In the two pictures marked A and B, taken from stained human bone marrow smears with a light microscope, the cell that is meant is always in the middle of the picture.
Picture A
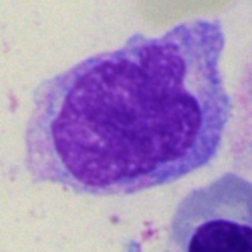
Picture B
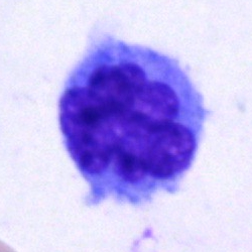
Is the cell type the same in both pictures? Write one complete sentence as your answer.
Yes; the cells in both pictures are monocytes.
